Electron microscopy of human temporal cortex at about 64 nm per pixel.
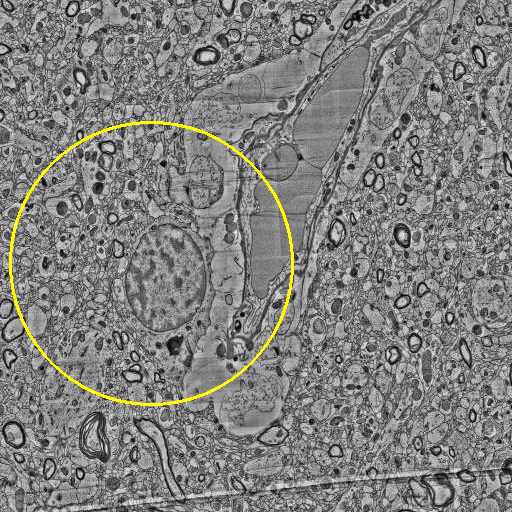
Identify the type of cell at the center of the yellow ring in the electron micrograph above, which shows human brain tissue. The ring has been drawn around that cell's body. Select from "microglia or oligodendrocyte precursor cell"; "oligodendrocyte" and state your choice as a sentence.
The yellow ring is centered on the body of an oligodendrocyte.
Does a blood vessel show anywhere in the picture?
Yes, there is a blood vessel.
